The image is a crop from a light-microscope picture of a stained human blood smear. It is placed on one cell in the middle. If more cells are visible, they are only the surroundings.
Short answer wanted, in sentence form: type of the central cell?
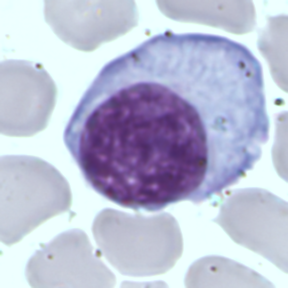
The cell in the middle of the field of view is a plasma cell.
